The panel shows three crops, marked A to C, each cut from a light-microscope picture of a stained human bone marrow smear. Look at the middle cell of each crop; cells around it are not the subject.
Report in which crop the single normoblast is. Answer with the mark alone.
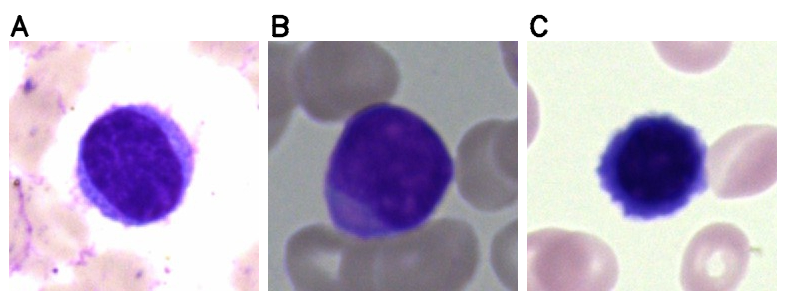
C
